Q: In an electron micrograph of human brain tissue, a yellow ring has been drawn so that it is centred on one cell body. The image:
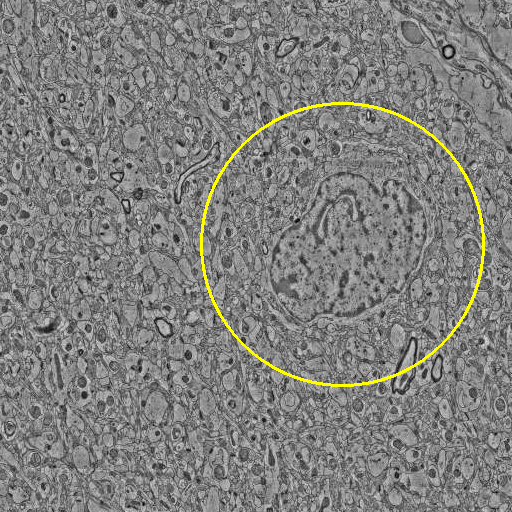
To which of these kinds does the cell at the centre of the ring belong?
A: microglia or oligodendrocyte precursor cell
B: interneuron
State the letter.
A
